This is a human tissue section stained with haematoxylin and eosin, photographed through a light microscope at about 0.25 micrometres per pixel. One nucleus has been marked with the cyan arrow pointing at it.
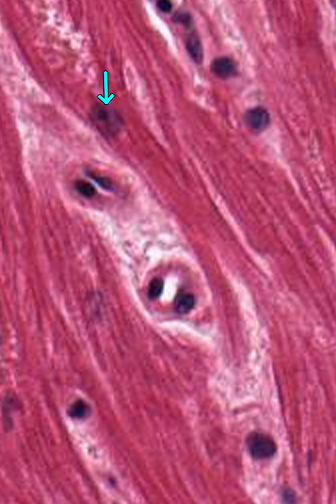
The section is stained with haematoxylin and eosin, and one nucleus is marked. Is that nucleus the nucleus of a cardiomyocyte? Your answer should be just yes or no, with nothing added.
yes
